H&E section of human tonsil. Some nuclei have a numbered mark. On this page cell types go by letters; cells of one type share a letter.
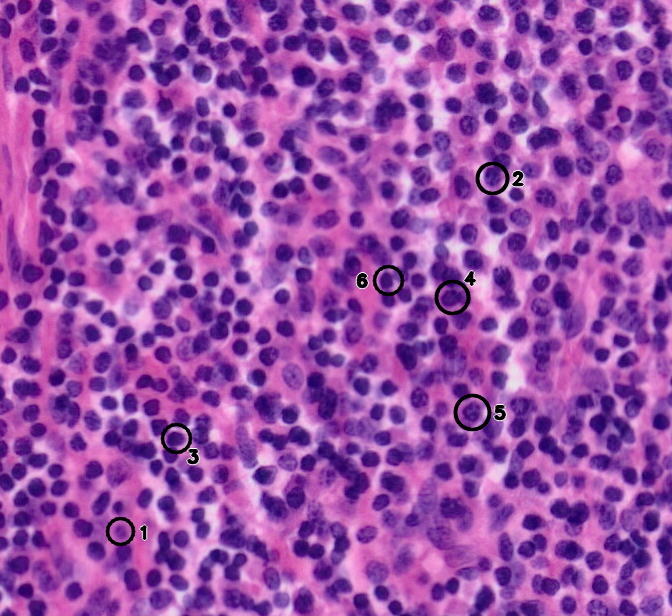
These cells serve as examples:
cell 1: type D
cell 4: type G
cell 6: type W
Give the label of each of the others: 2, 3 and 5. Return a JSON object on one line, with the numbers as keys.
{"2": "type G", "3": "type W", "5": "type G"}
